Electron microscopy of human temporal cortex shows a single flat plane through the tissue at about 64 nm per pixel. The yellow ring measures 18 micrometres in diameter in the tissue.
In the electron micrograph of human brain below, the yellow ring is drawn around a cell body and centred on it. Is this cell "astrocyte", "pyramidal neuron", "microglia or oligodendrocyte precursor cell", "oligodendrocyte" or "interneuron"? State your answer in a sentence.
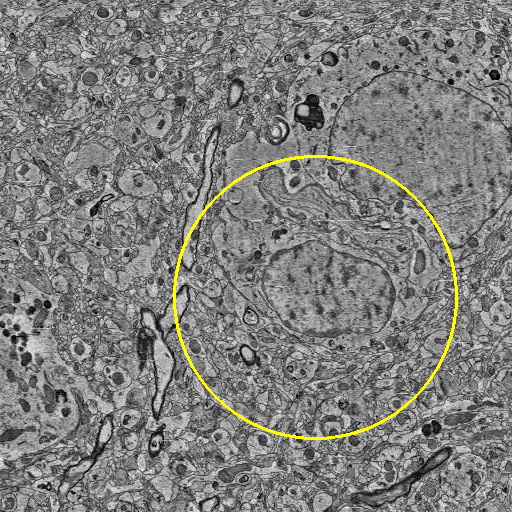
The cell in the middle of the ring is a microglial cell or oligodendrocyte precursor cell.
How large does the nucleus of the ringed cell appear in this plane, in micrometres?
In this plane the nucleus measures roughly 8 by 6 micrometers.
